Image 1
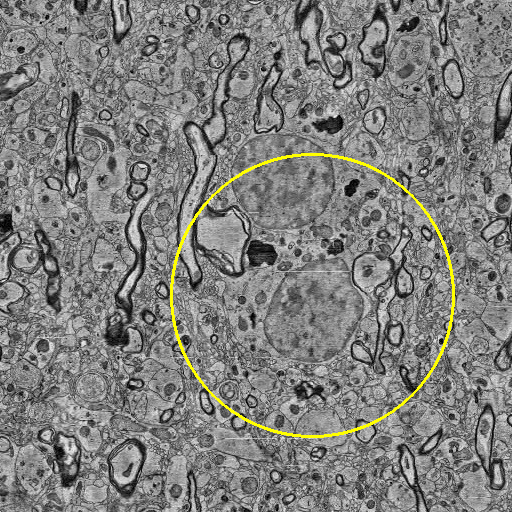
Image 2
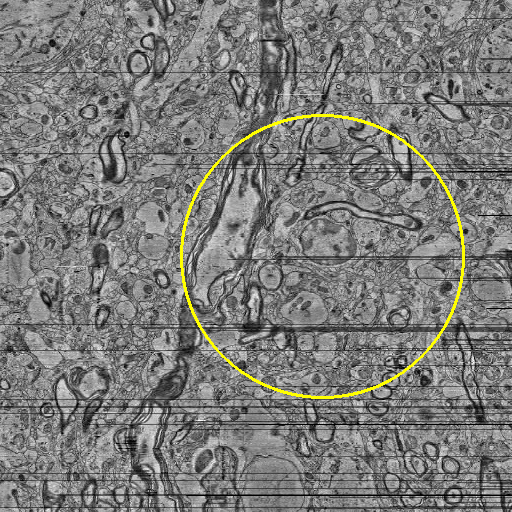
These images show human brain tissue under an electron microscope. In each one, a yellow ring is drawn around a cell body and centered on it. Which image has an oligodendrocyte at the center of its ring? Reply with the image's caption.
Image 1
